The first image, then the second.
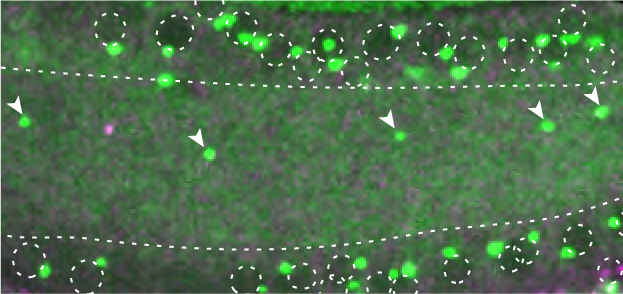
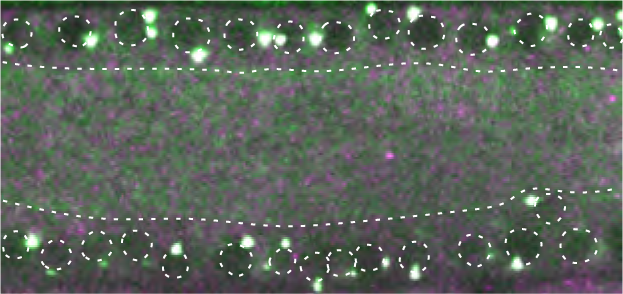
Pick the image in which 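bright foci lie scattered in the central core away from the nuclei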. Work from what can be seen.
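The first image. First image: several bright green dots sit in the central band between the rows of nuclei. Second image: bright dots lie next to the nuclei along the edges, and the central band is nearly free of them.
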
